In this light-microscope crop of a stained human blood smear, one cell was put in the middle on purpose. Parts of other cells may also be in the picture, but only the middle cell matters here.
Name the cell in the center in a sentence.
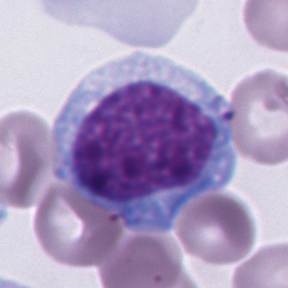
The central cell shown in this smear crop is a promyelocyte.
